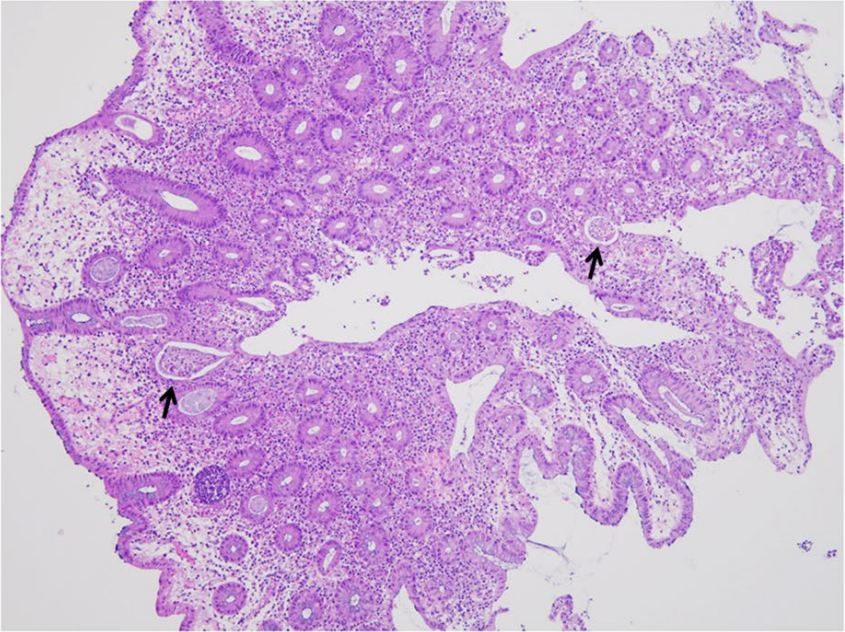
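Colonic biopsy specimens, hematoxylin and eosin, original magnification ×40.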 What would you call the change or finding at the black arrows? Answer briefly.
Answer: Crypt abscess formation.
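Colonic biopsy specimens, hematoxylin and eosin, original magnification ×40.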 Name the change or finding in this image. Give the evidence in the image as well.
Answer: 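Crypts vary in size and shape and are unevenly spaced. Some crypts are dilated while others are small and round. On this evidence: Mild crypt distortion.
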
